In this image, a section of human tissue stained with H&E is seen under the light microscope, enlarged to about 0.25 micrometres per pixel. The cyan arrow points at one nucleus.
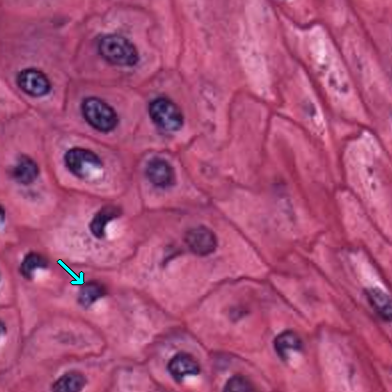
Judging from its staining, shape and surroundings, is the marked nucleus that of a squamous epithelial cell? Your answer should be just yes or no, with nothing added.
yes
